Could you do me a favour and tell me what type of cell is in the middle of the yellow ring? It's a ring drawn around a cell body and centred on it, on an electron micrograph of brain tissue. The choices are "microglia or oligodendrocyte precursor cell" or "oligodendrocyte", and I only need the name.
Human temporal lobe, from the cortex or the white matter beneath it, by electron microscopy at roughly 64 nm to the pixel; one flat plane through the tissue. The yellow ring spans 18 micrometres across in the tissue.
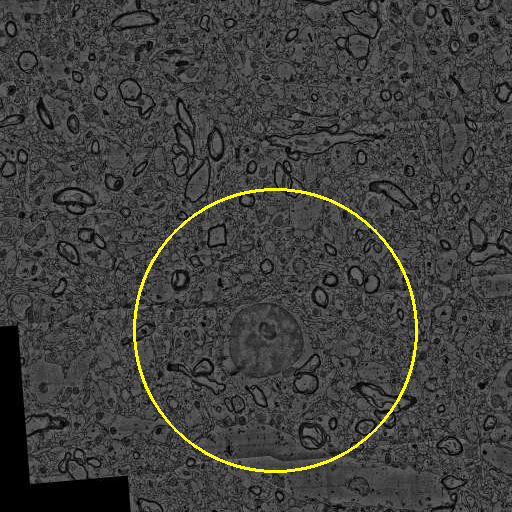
oligodendrocyte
